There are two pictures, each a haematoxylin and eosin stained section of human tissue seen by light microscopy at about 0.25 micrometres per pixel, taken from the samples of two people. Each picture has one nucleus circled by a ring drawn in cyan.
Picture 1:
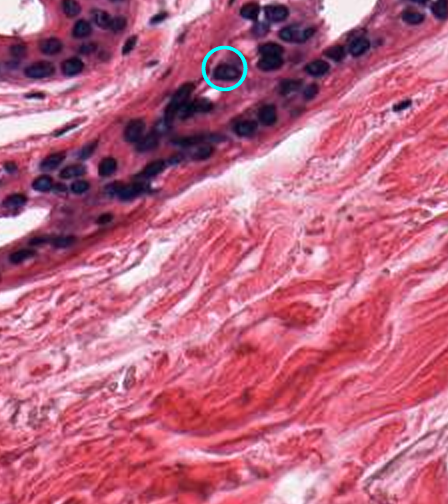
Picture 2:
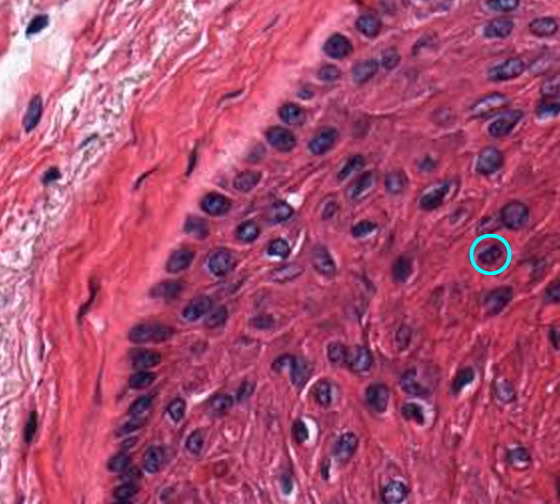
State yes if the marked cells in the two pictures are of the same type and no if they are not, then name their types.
No, the first is a sweat gland cell and the second a keratinocyte.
